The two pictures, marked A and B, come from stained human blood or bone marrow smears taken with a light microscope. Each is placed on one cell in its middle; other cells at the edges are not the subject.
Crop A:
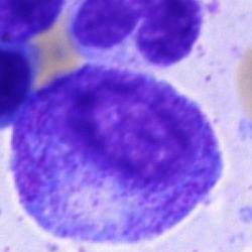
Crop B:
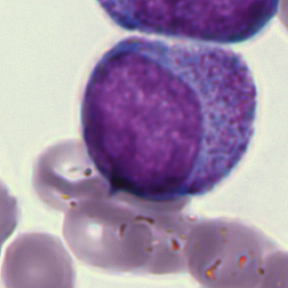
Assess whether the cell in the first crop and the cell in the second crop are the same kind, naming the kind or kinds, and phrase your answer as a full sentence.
Yes, in the case of both crops, the central cells are promyelocytes.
